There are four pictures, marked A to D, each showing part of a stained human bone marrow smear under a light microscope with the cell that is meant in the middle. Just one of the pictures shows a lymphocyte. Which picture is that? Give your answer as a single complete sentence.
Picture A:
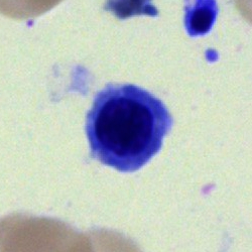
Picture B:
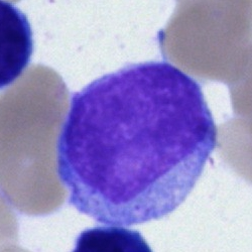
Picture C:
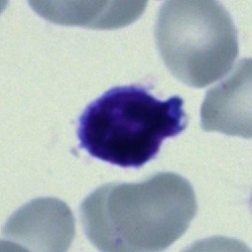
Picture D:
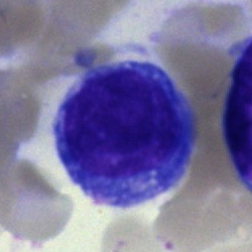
It is picture C that shows the lymphocyte.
